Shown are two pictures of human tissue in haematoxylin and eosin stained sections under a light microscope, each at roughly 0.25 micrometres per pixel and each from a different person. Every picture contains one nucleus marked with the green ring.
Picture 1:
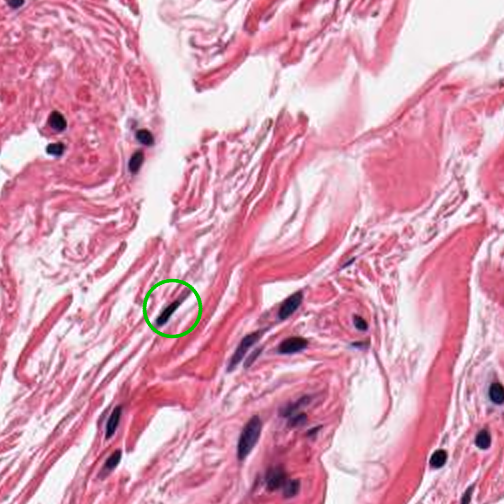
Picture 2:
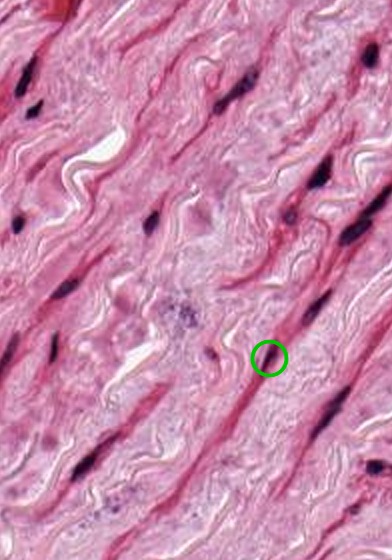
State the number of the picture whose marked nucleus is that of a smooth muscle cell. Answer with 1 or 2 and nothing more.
2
